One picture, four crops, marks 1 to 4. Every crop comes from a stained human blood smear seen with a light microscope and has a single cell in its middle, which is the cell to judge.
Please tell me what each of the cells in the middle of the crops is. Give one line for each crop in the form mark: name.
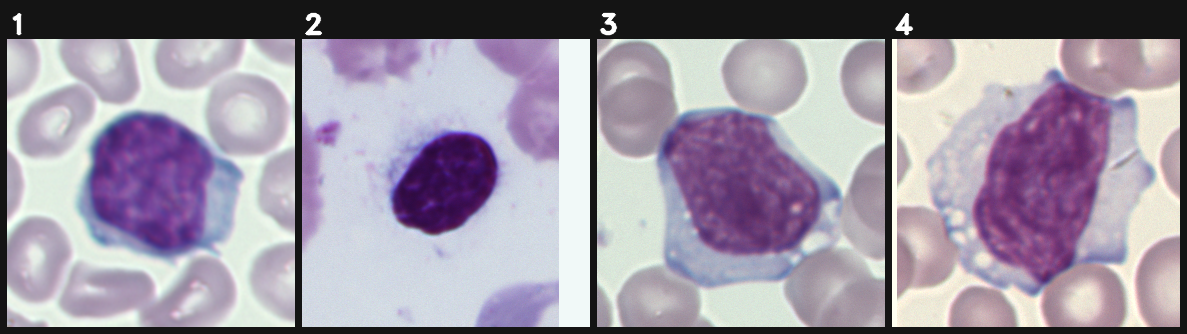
1: blast
2: lymphocyte
3: blast
4: blast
